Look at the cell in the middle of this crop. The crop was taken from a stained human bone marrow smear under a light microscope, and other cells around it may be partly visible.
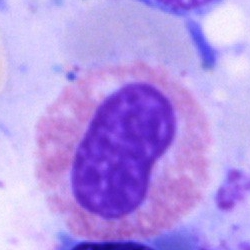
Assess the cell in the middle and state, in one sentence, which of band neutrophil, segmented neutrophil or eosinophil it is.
Occupying the centre of the crop is an eosinophil.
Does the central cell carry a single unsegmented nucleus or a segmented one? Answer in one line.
Please observe that the nucleus consists of one compact round, oval or kidney-shaped mass.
